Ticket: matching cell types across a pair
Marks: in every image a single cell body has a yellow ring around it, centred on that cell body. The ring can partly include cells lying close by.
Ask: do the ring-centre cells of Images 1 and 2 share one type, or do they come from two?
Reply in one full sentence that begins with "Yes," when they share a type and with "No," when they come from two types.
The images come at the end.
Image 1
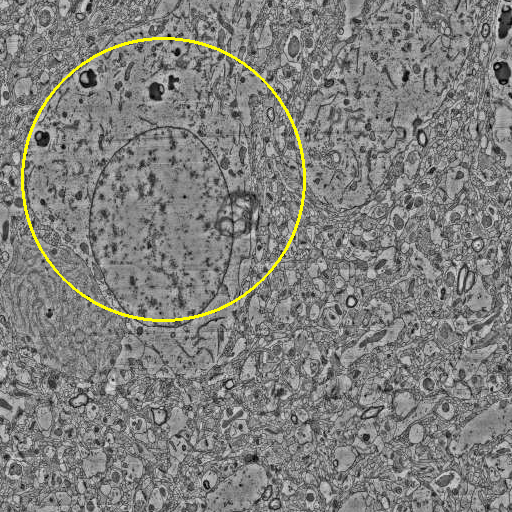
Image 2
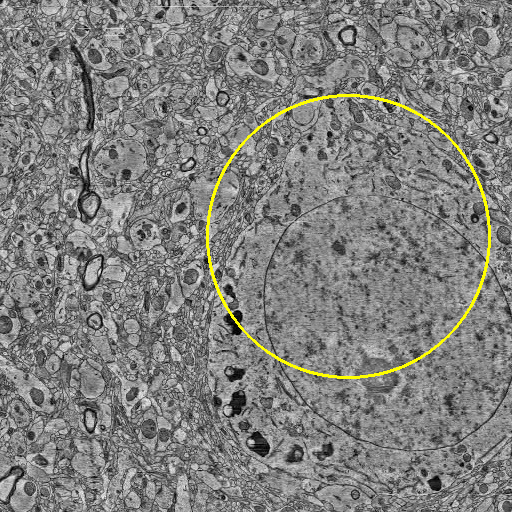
Yes, the cells in the centres of the rings in Image 1 and Image 2 share one type.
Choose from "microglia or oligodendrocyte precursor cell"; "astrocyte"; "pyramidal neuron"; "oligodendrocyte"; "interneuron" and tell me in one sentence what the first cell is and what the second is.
Each one of the two ringed cells is a pyramidal neuron.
